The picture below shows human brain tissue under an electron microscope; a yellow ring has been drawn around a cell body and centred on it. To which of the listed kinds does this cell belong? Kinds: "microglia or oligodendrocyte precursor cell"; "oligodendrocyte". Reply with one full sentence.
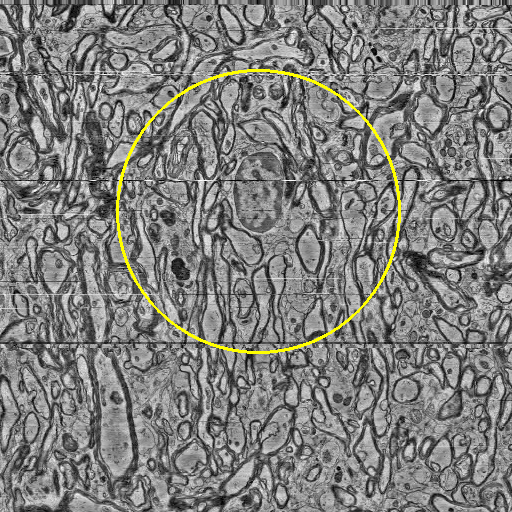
It is a microglial cell or oligodendrocyte precursor cell that the yellow ring in the picture is centred on.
